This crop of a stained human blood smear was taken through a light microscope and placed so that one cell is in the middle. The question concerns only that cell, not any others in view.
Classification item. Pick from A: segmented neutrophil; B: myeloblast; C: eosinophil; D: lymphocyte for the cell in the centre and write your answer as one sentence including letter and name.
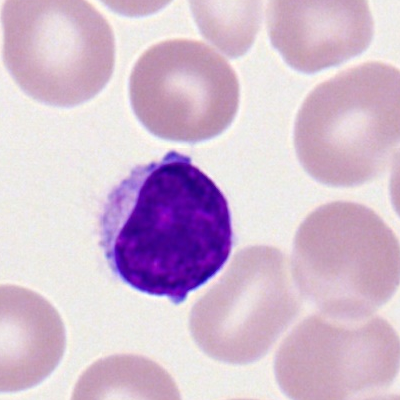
Option D holds, for the cell in the middle is a lymphocyte.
